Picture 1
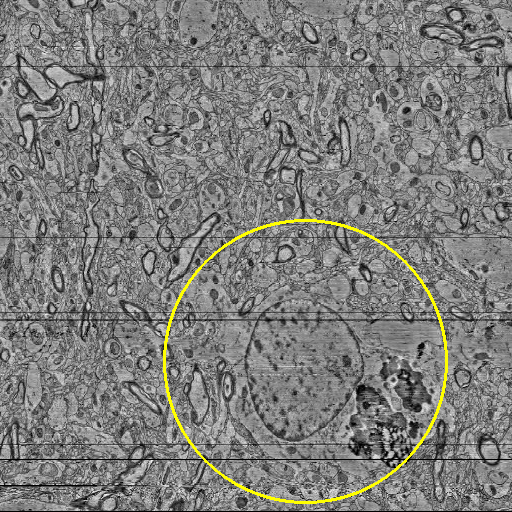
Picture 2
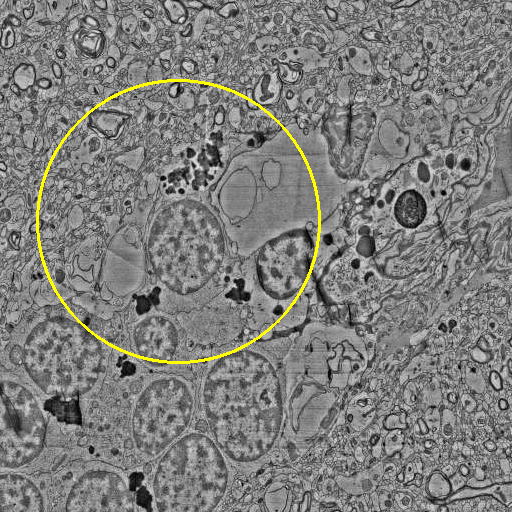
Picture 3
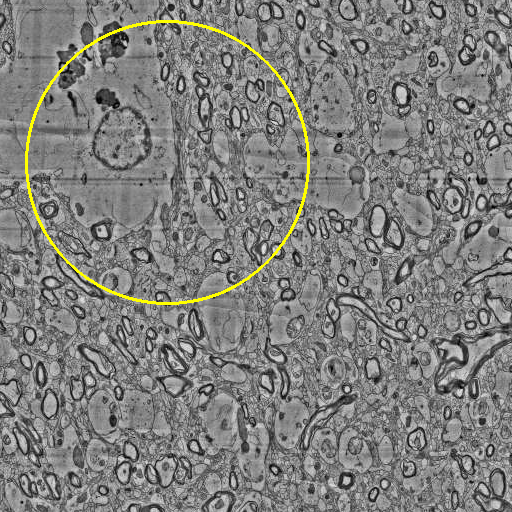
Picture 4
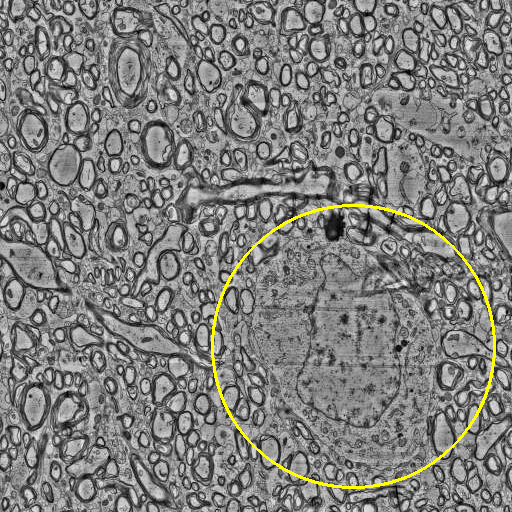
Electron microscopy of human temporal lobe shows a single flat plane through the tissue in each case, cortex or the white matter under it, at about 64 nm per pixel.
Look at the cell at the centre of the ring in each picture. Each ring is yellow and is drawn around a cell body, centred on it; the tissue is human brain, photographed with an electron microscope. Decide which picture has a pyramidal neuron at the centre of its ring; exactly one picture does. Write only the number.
4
